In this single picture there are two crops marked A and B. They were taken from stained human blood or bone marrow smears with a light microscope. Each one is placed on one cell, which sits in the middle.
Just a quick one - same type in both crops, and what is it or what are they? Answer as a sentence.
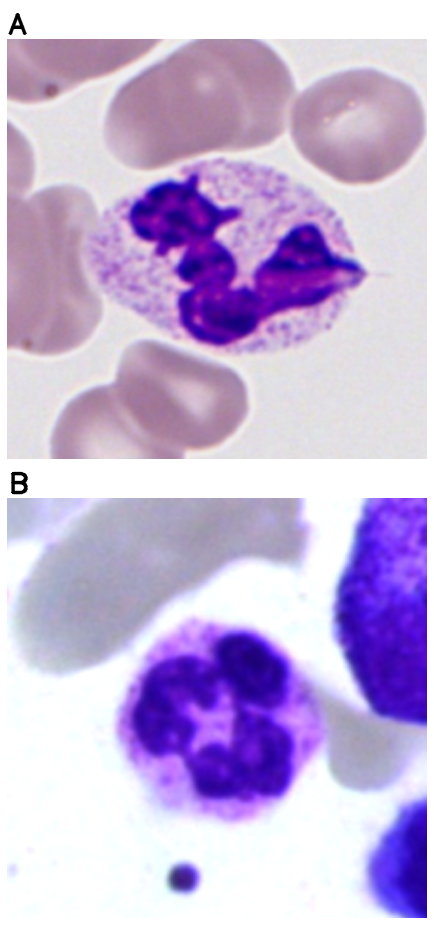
Yes, in both crops the centred cells are segmented neutrophils.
